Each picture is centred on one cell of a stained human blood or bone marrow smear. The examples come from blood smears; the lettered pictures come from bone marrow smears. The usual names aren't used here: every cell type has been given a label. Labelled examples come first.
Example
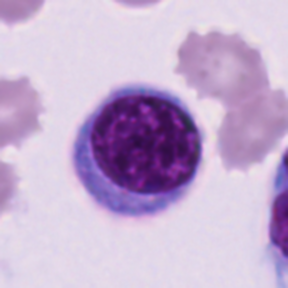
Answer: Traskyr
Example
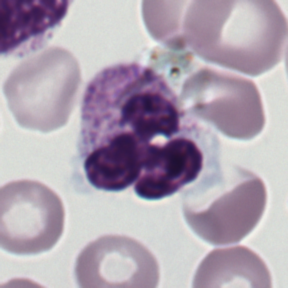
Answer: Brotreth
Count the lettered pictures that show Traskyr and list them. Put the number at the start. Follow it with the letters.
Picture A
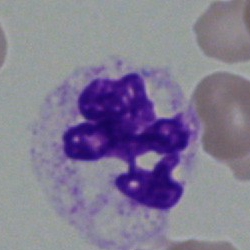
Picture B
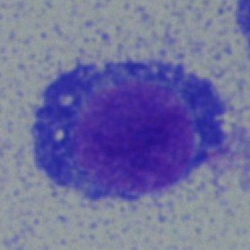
1: B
